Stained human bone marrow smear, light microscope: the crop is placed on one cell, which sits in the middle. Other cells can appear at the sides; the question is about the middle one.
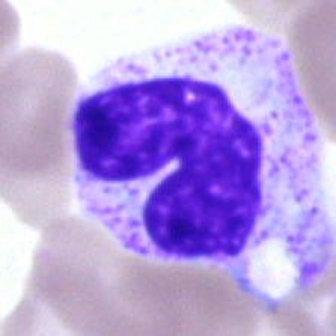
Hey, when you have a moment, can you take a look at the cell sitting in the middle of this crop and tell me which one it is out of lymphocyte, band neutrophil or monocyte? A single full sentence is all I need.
The identification for the central cell is a band neutrophil.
